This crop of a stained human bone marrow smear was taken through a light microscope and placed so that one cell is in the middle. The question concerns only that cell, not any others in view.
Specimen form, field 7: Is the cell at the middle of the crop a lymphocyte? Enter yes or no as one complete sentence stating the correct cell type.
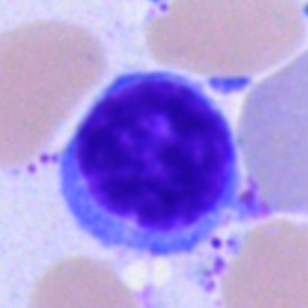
Yes, the identification of the central cell as a lymphocyte is correct.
